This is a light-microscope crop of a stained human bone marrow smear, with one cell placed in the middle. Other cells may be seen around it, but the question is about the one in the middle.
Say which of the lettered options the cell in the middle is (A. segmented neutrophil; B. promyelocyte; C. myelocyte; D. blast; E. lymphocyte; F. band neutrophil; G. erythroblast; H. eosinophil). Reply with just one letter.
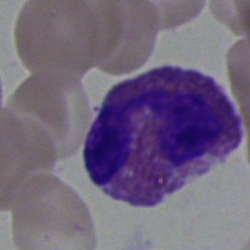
H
